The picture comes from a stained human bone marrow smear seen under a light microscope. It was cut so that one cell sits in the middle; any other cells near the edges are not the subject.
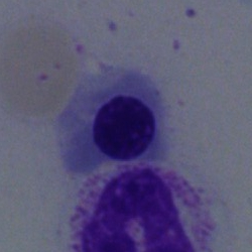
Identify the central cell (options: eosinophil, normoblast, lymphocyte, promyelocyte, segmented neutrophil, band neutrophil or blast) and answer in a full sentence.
Standing at the centre of this crop is a normoblast.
